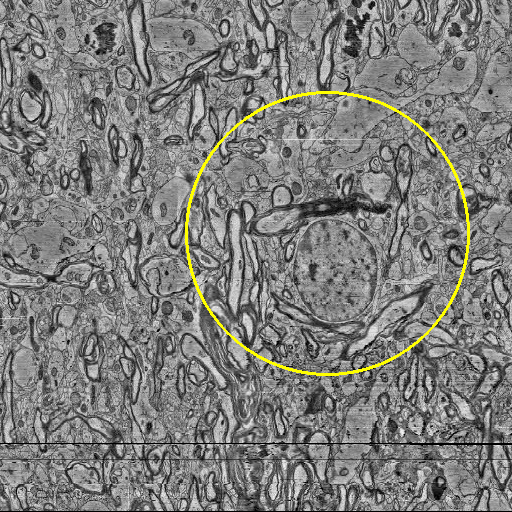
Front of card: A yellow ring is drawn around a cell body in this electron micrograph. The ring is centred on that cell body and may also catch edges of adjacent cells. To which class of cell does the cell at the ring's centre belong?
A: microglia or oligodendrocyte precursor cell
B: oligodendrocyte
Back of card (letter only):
A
